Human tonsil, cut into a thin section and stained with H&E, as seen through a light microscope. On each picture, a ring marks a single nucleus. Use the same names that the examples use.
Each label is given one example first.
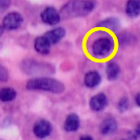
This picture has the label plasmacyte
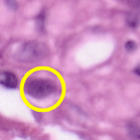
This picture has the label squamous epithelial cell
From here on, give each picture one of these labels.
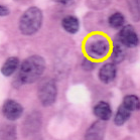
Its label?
plasmacyte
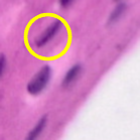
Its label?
squamous epithelial cell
